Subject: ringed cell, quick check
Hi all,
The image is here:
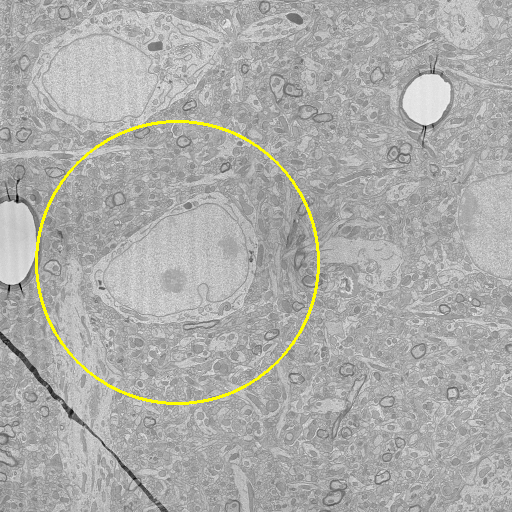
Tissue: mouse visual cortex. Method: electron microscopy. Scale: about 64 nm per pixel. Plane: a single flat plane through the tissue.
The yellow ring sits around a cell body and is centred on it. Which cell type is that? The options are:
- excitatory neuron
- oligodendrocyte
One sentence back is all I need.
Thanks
That ringed cell is an excitatory neuron.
